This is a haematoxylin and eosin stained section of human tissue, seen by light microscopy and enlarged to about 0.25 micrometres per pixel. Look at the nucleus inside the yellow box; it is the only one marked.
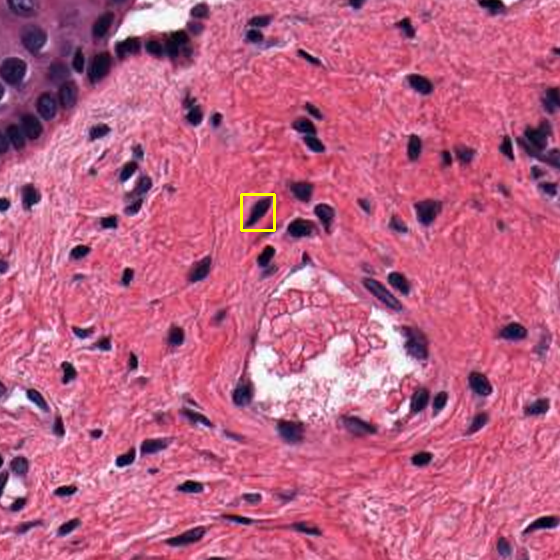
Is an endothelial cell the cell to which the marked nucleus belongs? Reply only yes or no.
no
